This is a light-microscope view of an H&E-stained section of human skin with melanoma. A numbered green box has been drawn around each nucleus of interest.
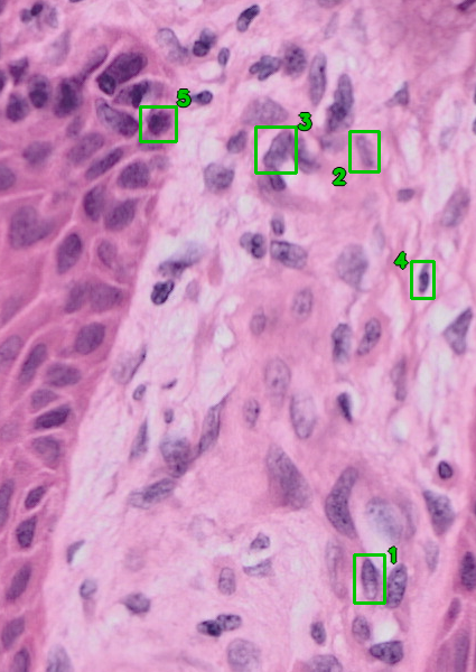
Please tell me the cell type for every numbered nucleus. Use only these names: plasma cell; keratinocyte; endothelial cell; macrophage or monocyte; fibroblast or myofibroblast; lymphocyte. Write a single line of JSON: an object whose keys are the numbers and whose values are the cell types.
{"1": "endothelial cell", "2": "fibroblast or myofibroblast", "3": "endothelial cell", "4": "lymphocyte", "5": "keratinocyte"}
